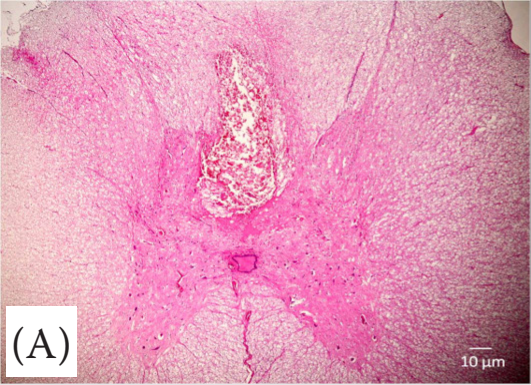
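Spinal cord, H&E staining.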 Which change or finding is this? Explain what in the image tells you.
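A sharply bounded oval structure lies in the central, darker pink tissue. The oval is filled with small red round bodies and pale spaces. The oval structure sits above a small dark central ring.
Answer: oval-shaped lesion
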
